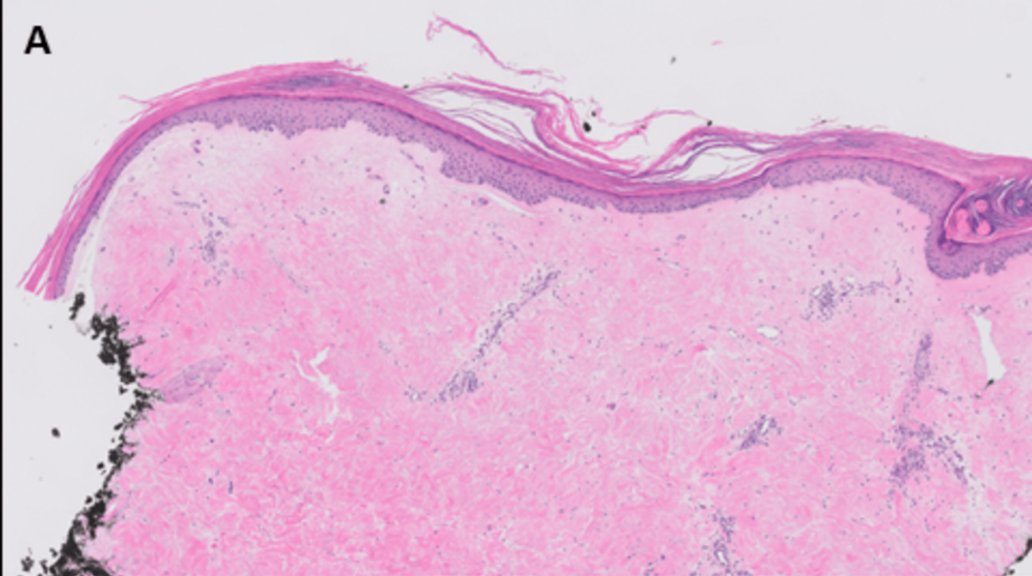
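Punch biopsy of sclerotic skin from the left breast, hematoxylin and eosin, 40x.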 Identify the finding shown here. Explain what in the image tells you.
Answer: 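Epidermal atrophy with orthokeratosis. The epidermis is thin with flattened rete ridges. A layer of anucleate pink keratin covers the surface.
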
